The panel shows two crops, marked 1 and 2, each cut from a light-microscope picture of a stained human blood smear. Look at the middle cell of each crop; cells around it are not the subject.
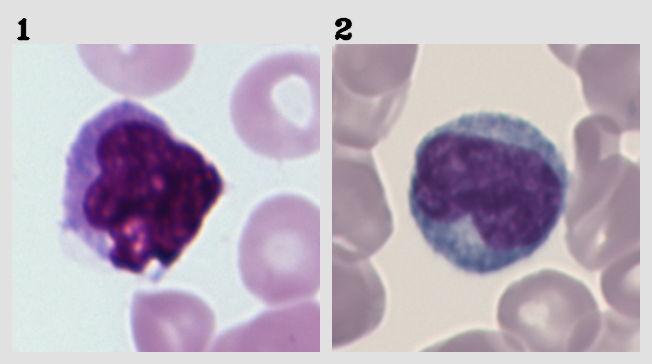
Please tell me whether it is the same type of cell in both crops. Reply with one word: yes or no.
yes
